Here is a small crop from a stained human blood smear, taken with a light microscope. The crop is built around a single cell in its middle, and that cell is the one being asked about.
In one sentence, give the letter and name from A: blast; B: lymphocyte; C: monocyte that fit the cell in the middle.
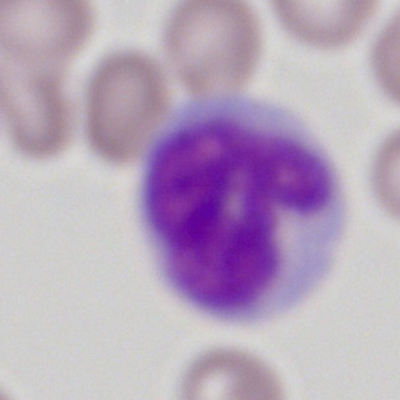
In this crop the central cell is a monocyte, which option C correctly states.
